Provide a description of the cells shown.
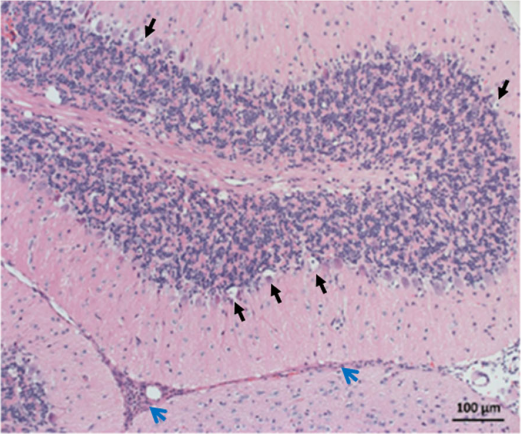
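This is a section of cerebellar cortex, folded into folia, with its layers in H&E. Each folium has a pale pink molecular layer on the outside with scattered small nuclei. Beneath it lies a broad band of densely packed small, round, dark purple granule cell nuclei. A thin pink strip of white matter runs through the core of the folia. Along the border between the molecular and granular layers, small round clear empty spaces are seen where the large cell bodies of that border would be expected. Between two folia, a thin pink meningeal band holds a row of small dark nuclei and a small vessel.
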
